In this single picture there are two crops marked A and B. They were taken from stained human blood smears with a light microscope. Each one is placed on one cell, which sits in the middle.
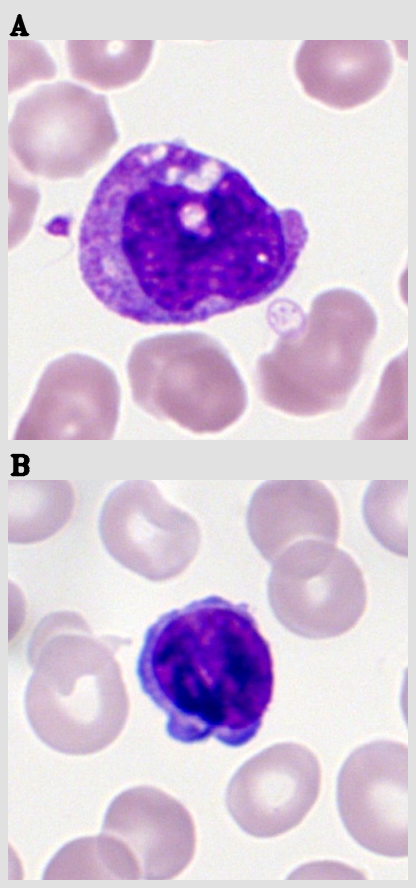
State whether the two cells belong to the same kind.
no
